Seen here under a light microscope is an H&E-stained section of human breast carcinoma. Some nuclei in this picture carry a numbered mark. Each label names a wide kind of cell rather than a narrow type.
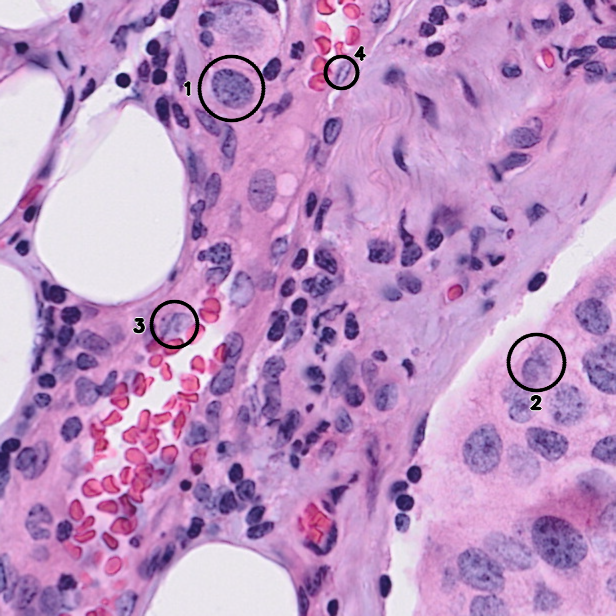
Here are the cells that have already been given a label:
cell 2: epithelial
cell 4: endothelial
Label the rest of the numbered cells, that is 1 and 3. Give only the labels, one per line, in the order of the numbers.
epithelial
endothelial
